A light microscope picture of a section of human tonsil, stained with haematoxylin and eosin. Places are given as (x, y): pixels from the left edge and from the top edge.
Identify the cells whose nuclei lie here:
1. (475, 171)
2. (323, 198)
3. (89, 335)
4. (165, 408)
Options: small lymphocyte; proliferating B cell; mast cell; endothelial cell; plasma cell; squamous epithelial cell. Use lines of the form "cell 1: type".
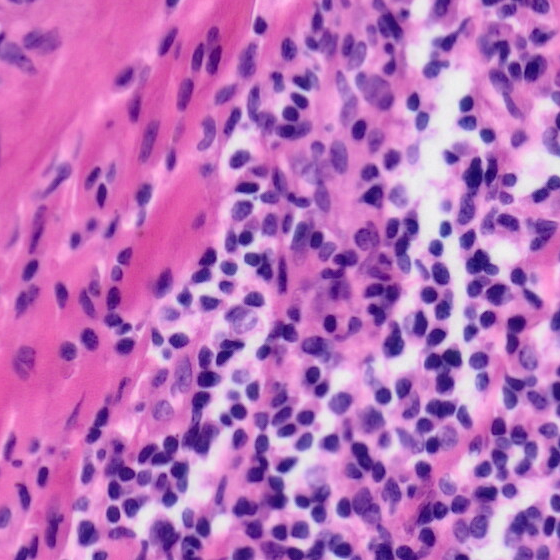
cell 1: small lymphocyte
cell 2: endothelial cell
cell 3: mast cell
cell 4: endothelial cell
